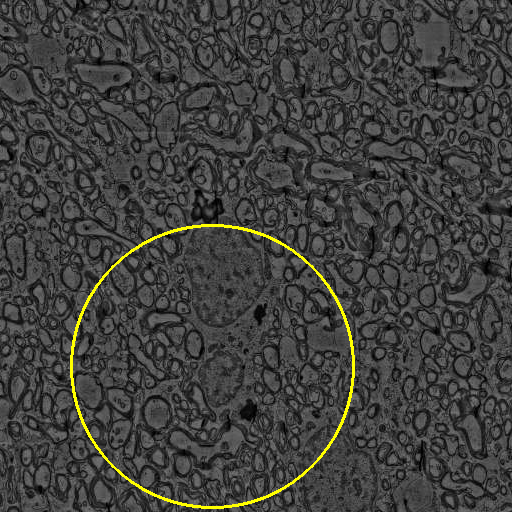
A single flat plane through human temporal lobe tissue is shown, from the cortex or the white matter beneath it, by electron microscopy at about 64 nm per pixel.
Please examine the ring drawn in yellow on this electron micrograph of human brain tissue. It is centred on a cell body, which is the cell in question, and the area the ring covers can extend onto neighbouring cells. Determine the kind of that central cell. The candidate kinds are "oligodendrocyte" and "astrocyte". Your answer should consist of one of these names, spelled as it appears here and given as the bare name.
oligodendrocyte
